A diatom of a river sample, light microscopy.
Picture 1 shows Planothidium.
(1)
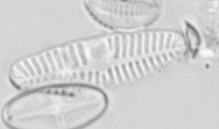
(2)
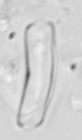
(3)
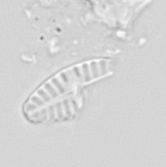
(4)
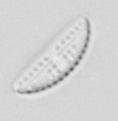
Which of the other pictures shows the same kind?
Picture 3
